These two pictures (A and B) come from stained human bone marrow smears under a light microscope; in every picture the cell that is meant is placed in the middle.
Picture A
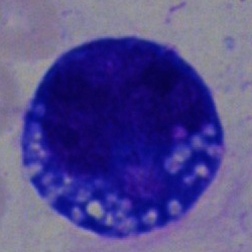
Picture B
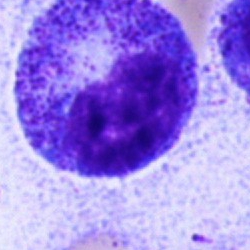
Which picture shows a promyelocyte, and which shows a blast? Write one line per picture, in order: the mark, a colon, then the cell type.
A: blast
B: promyelocyte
